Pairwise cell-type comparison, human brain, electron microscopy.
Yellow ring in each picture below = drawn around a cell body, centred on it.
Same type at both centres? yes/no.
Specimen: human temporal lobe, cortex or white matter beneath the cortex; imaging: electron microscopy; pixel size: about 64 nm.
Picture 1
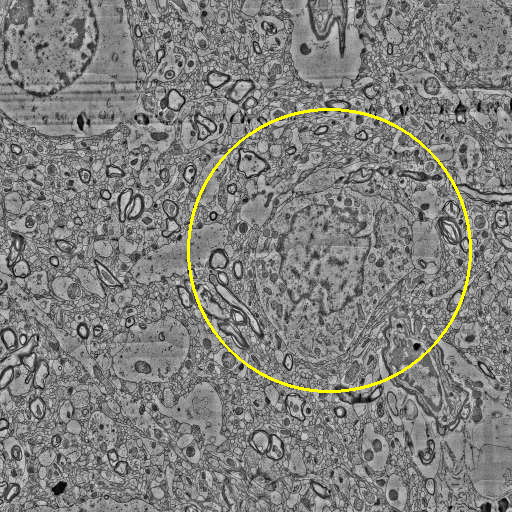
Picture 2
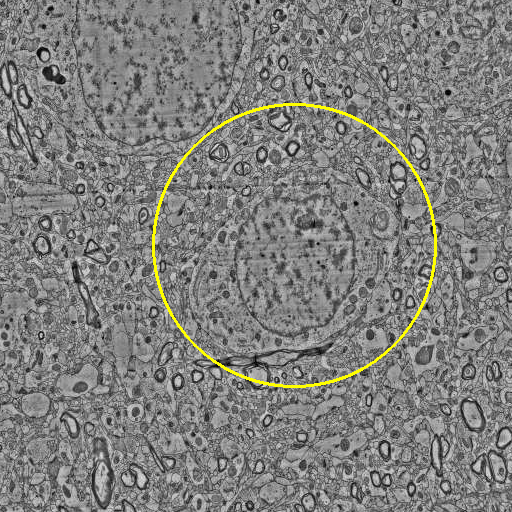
yes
